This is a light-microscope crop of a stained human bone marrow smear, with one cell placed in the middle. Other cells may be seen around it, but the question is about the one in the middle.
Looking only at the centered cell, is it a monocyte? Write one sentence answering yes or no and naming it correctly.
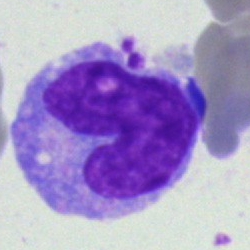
Yes, this is a monocyte, the cell in the middle of the crop.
